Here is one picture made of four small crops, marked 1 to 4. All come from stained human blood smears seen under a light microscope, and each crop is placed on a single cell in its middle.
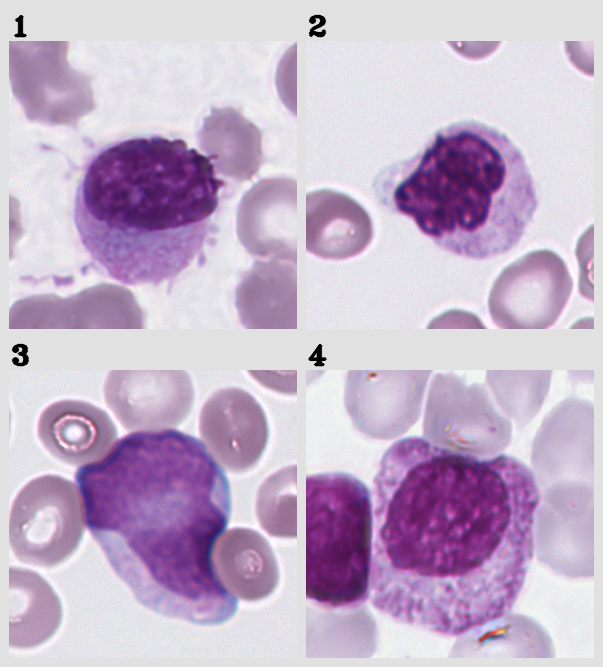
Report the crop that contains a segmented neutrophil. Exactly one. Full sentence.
Of all the crops, crop 2 is the one showing a segmented neutrophil.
